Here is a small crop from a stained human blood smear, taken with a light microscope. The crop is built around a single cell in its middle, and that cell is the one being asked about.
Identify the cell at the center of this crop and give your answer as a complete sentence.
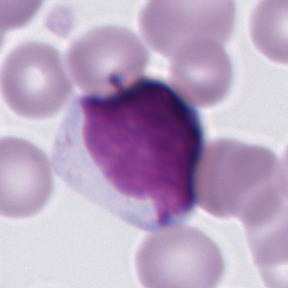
The single cell at the center of the crop is a large granular lymphocyte.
